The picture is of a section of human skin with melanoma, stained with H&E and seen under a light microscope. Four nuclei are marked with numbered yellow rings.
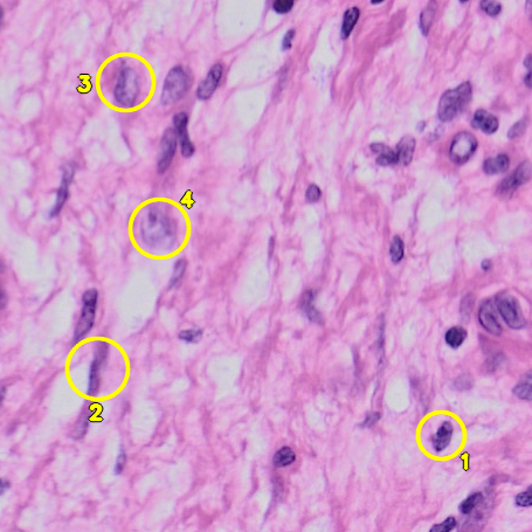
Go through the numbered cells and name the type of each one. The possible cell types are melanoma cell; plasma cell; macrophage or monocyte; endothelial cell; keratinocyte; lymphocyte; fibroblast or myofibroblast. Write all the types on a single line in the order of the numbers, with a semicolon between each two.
lymphocyte; fibroblast or myofibroblast; fibroblast or myofibroblast; fibroblast or myofibroblast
